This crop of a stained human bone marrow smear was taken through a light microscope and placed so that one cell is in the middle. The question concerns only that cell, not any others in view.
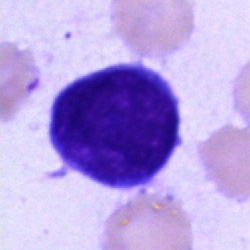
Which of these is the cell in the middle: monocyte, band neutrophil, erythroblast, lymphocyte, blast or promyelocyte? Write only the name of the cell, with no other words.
blast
